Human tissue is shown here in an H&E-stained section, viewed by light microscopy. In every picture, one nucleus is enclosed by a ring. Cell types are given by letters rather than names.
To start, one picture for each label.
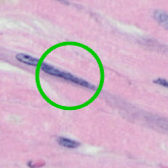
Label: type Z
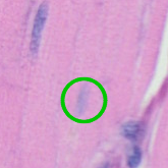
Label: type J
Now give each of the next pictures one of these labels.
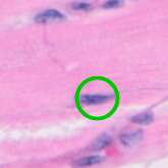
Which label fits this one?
type Z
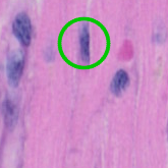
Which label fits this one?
type Z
